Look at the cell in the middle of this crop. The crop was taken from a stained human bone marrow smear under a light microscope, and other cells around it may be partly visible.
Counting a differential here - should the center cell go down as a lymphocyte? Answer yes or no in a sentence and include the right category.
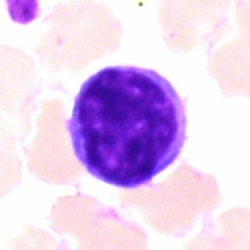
Yes, within this crop, the central cell is a lymphocyte.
